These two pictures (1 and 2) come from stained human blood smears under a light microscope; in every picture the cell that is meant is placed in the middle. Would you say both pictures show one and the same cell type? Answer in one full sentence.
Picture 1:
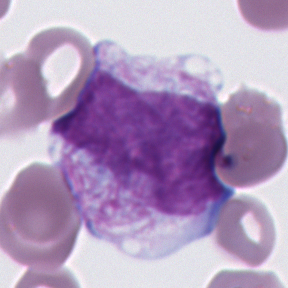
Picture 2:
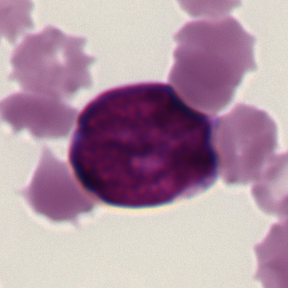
No. Picture 1 shows an atypical promyelocyte, but picture 2 shows a myeloblast.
